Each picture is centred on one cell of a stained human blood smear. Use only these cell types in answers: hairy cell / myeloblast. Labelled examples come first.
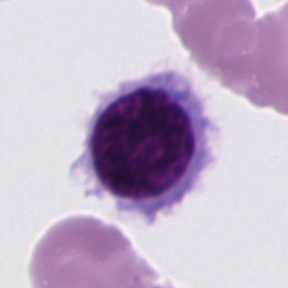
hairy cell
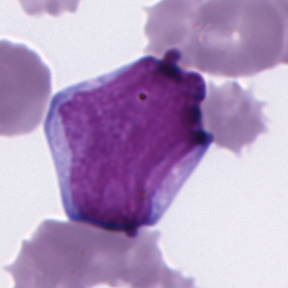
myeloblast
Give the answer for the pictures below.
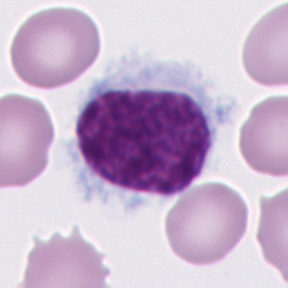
hairy cell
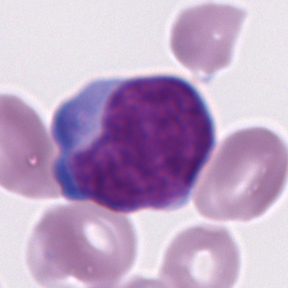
myeloblast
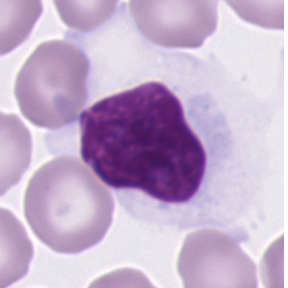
hairy cell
